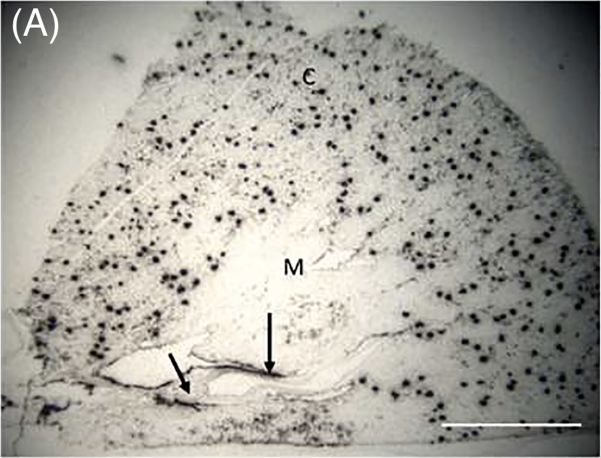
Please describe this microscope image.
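The outer band of the section is studded with many small, round, dense black dots, each one a glomerulus, spread fairly evenly and separated by paler tissue. Toward the centre the section turns pale and nearly free of dots, in keeping with the deeper region of the kidney where glomeruli do not lie.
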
